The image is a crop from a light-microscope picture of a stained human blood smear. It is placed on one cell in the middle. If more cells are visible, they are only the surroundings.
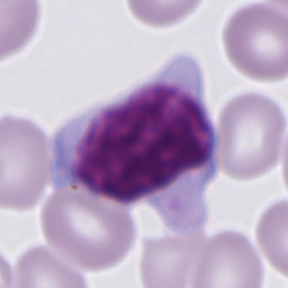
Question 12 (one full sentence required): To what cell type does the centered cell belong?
The cell shown in the center of this light-microscope crop is a large granular lymphocyte.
